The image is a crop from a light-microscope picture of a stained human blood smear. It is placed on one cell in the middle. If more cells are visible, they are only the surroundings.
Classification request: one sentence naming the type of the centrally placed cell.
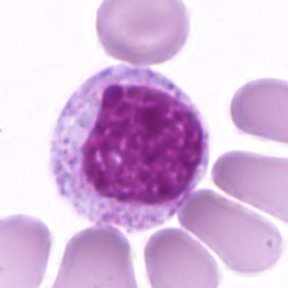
The centered cell in this crop is a metamyelocyte.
